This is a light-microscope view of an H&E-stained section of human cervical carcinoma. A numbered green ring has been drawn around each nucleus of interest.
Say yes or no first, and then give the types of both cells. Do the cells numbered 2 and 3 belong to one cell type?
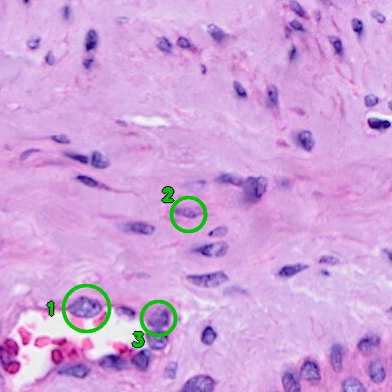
No, cell 2 is a smooth muscle cell, and as for cell 3, it is an endothelial cell.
